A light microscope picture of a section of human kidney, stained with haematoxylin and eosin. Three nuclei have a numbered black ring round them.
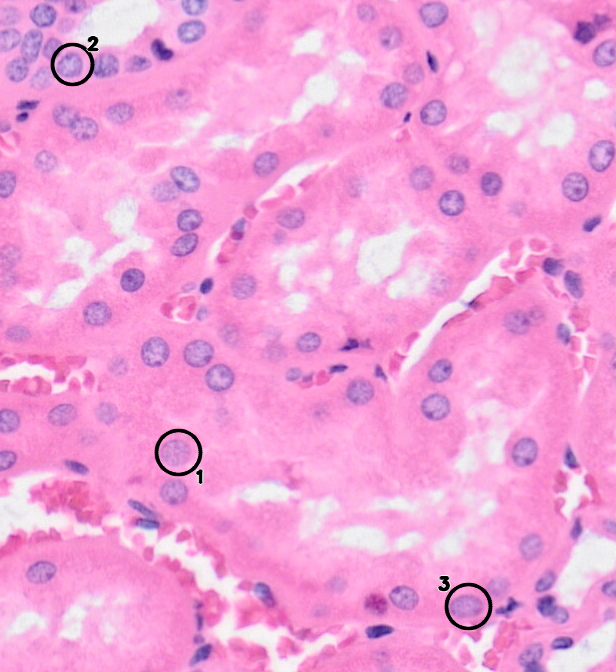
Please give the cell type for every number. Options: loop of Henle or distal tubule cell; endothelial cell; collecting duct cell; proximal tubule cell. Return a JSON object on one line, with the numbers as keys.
{"1": "proximal tubule cell", "2": "collecting duct cell", "3": "proximal tubule cell"}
